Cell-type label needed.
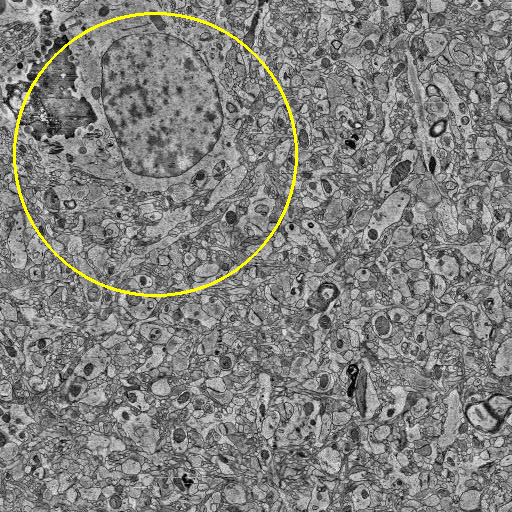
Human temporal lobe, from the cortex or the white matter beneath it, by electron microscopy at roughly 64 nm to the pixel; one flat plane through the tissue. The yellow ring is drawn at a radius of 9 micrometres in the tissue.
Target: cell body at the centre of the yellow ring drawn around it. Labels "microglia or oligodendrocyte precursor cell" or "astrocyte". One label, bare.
astrocyte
